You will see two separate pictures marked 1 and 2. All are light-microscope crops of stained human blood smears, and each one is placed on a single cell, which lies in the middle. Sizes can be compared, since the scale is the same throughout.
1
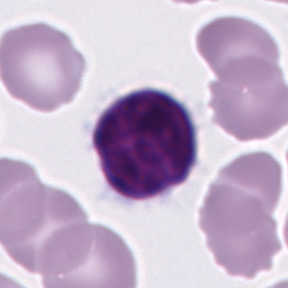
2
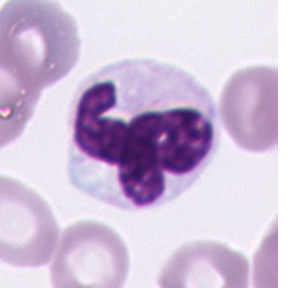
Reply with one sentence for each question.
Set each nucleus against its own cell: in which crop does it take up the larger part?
The nucleus fills more of the cell in picture 1 than in picture 2.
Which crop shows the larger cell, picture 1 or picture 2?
It is the cell in picture 2, about 2 times as large in area as the cell in picture 1.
